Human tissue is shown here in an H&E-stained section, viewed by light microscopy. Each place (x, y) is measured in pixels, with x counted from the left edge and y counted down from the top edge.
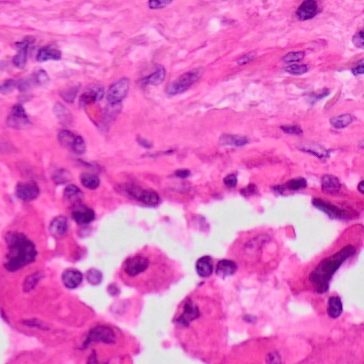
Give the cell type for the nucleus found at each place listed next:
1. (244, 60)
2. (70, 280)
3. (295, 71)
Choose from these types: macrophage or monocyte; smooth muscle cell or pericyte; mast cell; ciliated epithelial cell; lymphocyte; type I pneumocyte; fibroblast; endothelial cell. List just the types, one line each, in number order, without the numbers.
smooth muscle cell or pericyte
lymphocyte
smooth muscle cell or pericyte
